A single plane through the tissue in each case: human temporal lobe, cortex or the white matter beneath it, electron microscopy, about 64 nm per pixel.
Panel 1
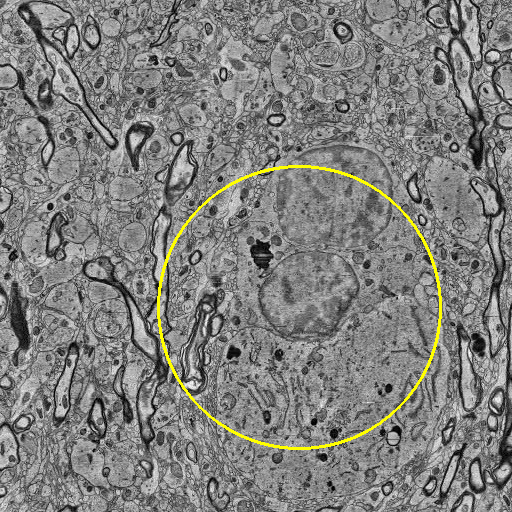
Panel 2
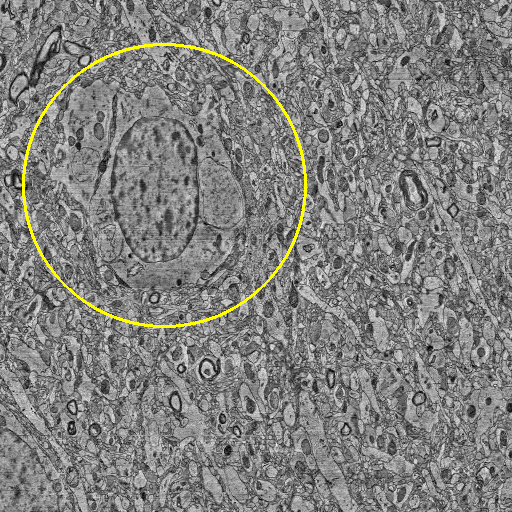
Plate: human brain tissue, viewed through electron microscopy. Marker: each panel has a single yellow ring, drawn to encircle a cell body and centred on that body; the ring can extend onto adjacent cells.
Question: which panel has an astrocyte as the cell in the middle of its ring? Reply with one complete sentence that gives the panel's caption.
Panel 2 is where the requested cell sits at the centre of the ring.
